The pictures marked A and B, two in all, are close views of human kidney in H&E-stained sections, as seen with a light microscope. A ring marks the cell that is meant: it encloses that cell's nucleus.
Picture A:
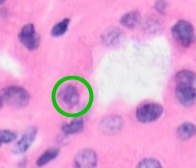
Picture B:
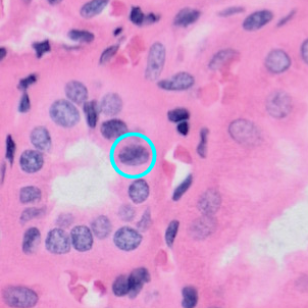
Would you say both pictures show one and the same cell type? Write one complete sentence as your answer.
No; the cell in picture A is a “loop of Henle or distal tubule cell”, while the one in picture B is a collecting duct cell.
